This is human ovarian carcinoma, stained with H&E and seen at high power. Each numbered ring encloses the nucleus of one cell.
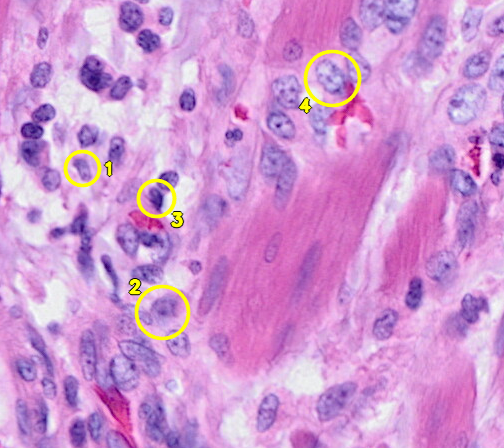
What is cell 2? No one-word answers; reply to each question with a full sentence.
Cell 2, as marked in the section, is a fibroblast.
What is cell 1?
The cell identified by number 1 is a macrophage or monocyte.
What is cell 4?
Number 4 is placed on an endothelial cell here.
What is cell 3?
Number 3 is placed on a lymphocyte here.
